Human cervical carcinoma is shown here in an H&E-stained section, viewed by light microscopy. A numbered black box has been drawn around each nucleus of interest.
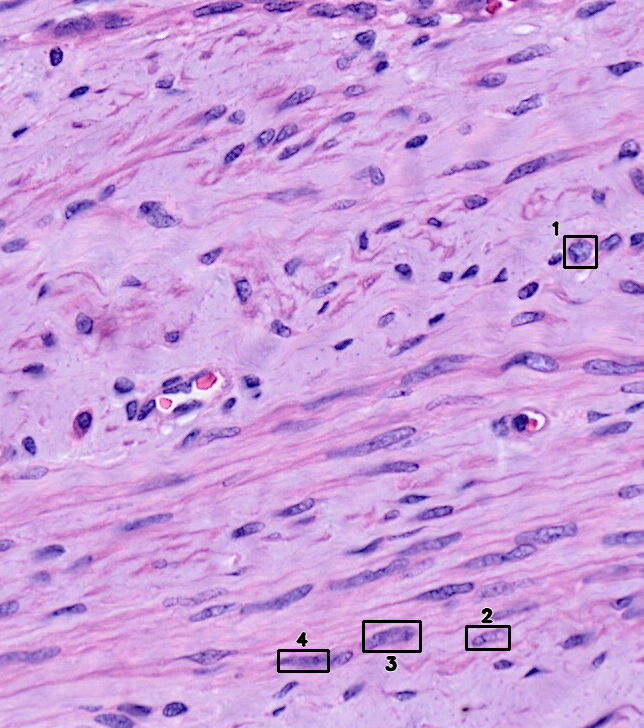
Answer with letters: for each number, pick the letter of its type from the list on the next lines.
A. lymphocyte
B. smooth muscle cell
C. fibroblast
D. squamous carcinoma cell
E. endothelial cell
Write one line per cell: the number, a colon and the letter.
1: E
2: B
3: B
4: B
